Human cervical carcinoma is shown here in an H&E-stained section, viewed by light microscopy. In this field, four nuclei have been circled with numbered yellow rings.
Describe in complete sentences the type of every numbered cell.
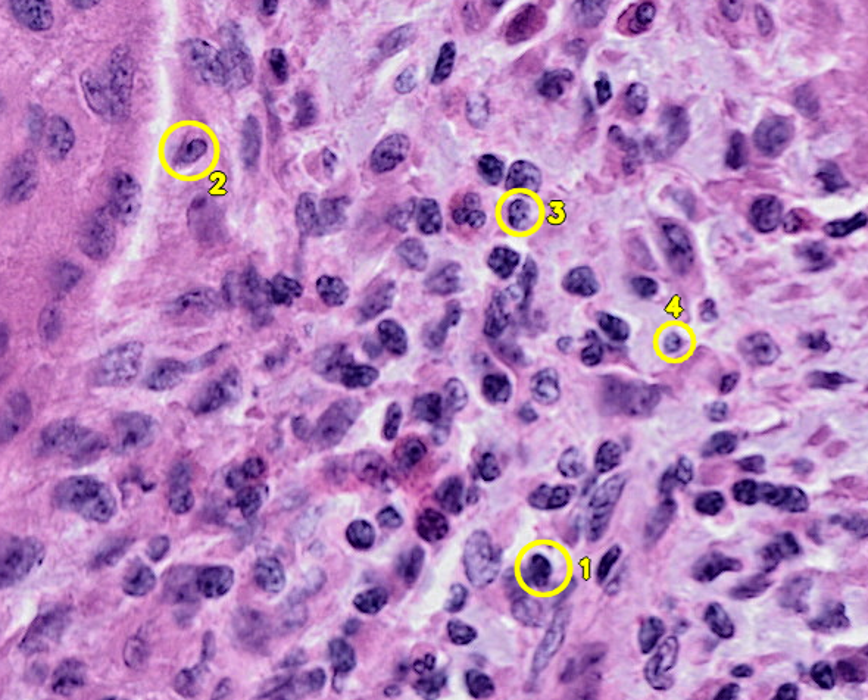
Cells 1, 3 and 4 are lymphocytes. Cell 2 is a macrophage or monocyte.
